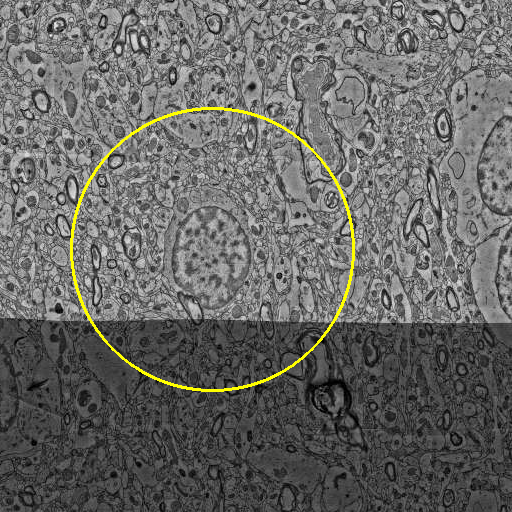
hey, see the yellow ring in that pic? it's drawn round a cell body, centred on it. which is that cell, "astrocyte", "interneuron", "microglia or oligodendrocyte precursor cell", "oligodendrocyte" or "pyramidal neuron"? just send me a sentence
The cell in the ring is an oligodendrocyte.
